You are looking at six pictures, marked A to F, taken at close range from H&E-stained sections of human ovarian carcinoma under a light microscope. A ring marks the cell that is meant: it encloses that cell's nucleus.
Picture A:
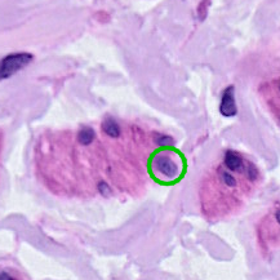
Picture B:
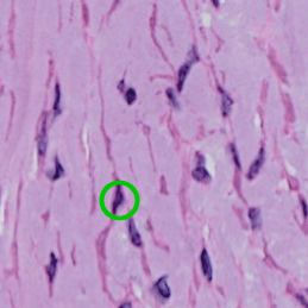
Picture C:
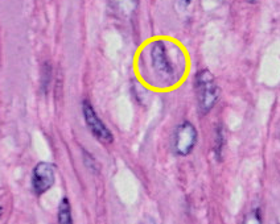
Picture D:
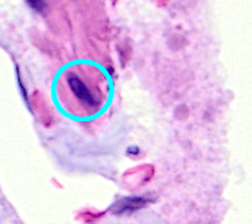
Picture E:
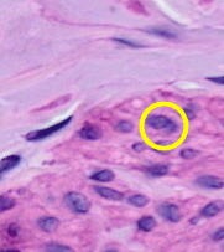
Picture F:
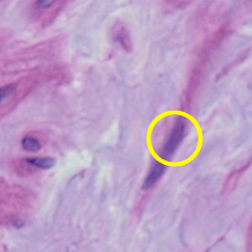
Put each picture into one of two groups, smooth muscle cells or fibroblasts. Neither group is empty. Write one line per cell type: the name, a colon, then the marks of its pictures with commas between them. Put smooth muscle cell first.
smooth muscle cell: A, D, E, F
fibroblast: B, C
